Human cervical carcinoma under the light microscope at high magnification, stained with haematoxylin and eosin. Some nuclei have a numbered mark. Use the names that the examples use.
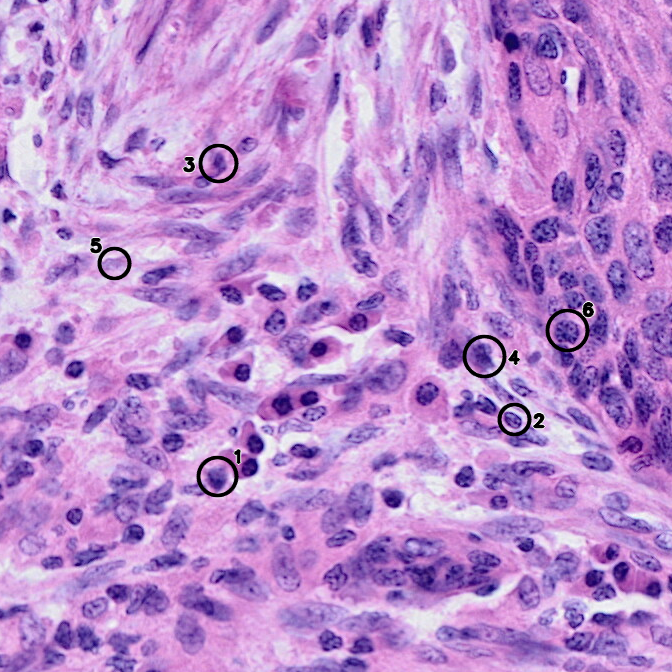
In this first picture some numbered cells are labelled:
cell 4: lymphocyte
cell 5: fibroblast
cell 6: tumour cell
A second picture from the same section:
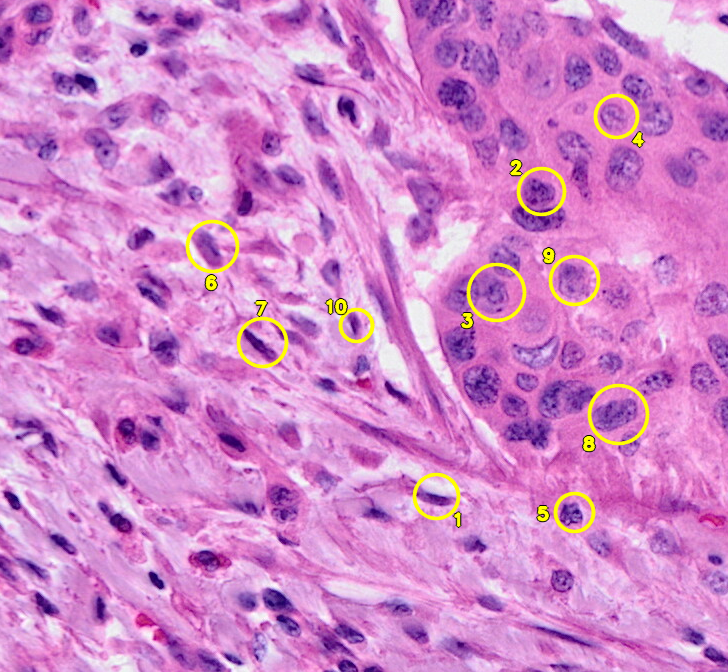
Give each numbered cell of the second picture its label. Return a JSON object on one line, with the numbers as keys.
{"1": "fibroblast", "2": "tumour cell", "3": "tumour cell", "4": "tumour cell", "5": "lymphocyte", "6": "fibroblast", "7": "fibroblast", "8": "tumour cell", "9": "tumour cell", "10": "fibroblast"}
